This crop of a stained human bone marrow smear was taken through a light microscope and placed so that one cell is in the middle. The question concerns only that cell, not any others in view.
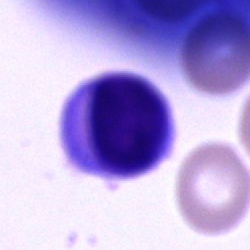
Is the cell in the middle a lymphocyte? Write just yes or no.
yes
